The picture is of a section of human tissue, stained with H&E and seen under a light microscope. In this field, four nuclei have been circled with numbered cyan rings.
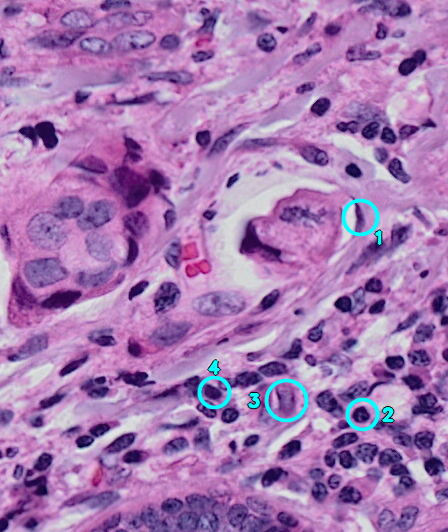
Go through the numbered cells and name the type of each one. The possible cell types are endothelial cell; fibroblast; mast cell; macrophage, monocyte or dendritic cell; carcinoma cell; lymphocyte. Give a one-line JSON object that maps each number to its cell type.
{"1": "fibroblast", "2": "lymphocyte", "3": "endothelial cell", "4": "lymphocyte"}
